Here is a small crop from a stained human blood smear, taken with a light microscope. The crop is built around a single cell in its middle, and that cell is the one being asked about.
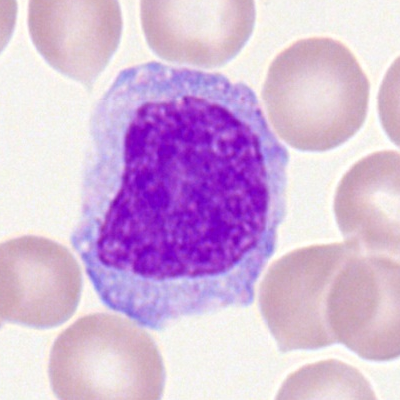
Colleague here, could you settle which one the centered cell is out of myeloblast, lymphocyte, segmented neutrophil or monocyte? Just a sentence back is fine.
Present in the middle of the crop is a monocyte.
